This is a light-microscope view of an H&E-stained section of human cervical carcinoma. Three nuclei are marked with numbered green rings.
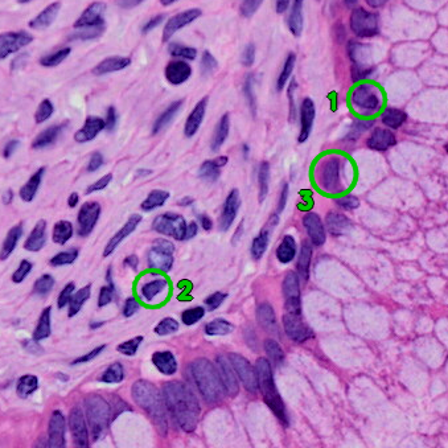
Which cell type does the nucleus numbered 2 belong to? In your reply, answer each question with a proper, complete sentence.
The cell that is numbered 2 is a fibroblast.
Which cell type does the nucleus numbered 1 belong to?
The cell pointed out as number 1 is a secretory epithelial cell.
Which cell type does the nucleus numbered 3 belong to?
The cell indicated with the number 3 is classed as a secretory epithelial cell.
